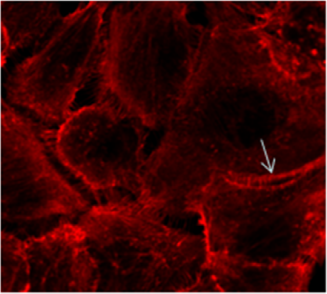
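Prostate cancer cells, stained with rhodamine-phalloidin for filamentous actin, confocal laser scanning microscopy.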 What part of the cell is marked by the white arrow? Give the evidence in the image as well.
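Stress fibers. The arrow points to a thick, bright red, curved linear bundle near the edge of a cell. The bundle is continuous and fibrous, unlike the diffuse red of the cytoplasm.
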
